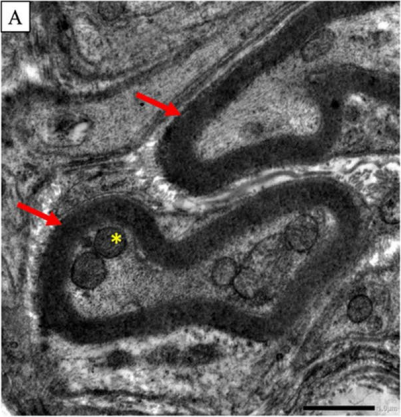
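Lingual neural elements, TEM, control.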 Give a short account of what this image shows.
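Here we look at myelinated nerve fibres cut across. Each axon appears as a pale, finely granular area, and around it runs a thick, uniformly dark band: the myelin sheath, compact and continuous, with a smooth outline even where the fibre bends into a curved shape. Inside the axoplasm sit several small oval membrane-bound bodies, the mitochondria, with intact outlines. Between the fibres lies loosely textured connective tissue with fine fibrils. Nothing here is folded or broken apart; the sheath hugs the axon closely all the way round.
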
